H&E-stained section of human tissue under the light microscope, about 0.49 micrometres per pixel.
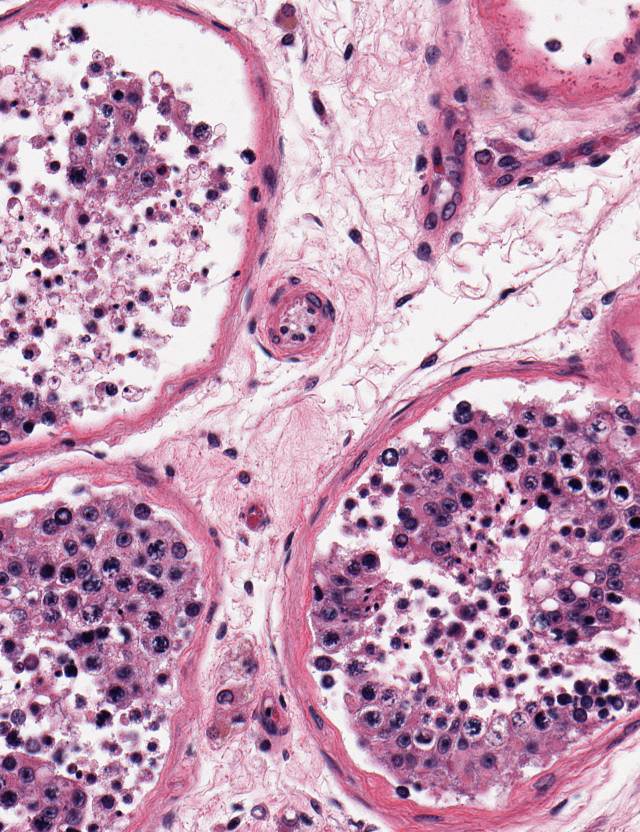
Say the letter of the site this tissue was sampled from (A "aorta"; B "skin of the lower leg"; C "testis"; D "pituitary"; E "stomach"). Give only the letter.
C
